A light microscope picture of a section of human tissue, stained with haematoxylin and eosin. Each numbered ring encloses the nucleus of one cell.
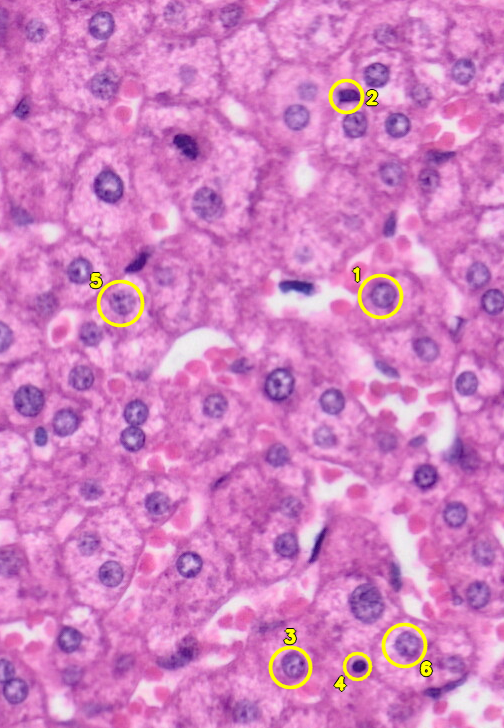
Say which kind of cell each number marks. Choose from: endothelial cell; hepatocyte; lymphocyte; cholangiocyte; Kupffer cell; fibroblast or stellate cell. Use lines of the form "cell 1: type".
cell 1: hepatocyte
cell 2: fibroblast or stellate cell
cell 3: hepatocyte
cell 4: lymphocyte
cell 5: hepatocyte
cell 6: hepatocyte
